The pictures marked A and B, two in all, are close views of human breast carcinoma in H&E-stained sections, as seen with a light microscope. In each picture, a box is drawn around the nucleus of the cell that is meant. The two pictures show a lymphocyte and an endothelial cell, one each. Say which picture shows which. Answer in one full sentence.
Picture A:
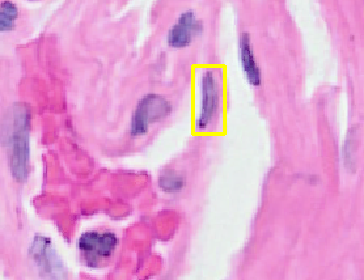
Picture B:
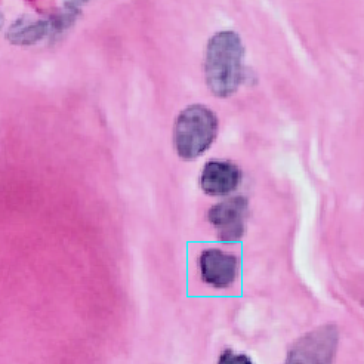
In picture A the cell is an endothelial cell; in picture B, a lymphocyte.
